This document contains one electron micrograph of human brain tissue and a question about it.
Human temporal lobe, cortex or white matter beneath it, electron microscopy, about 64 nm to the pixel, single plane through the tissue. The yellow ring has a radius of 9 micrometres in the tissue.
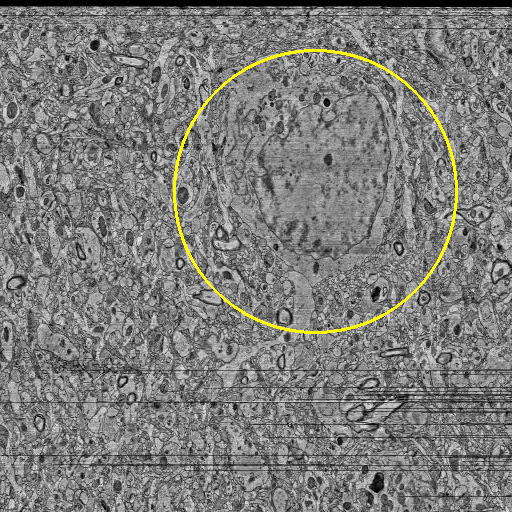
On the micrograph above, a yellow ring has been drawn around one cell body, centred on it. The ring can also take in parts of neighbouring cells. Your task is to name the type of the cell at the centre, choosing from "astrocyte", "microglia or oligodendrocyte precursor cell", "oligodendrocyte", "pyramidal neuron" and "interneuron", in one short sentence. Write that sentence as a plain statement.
Here the ring is centred on an interneuron.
